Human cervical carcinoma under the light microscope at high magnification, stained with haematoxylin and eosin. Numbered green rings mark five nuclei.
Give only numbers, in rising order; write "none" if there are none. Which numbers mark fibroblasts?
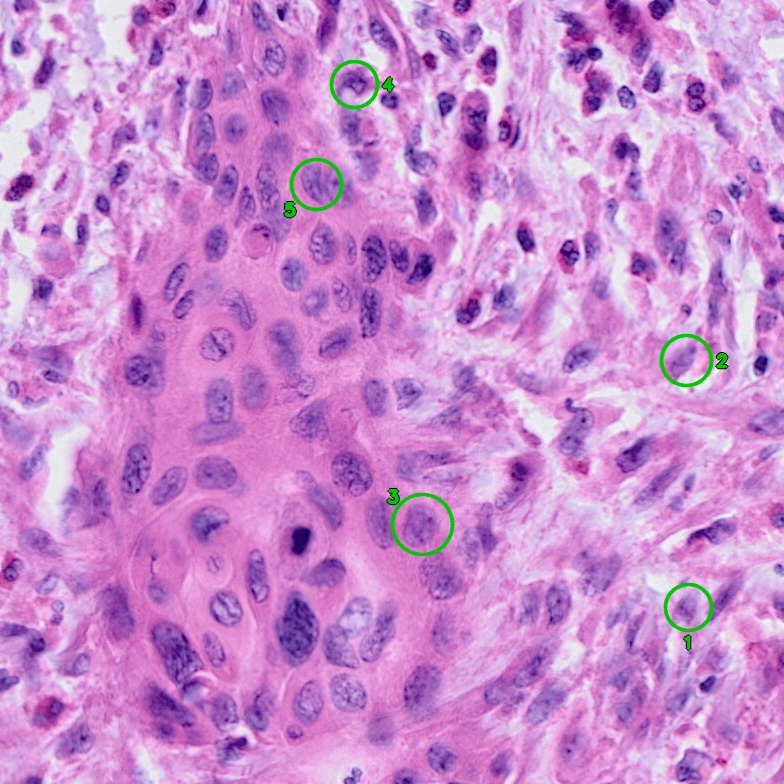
1, 2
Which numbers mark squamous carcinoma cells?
3, 5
